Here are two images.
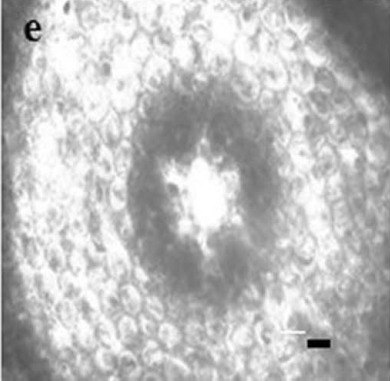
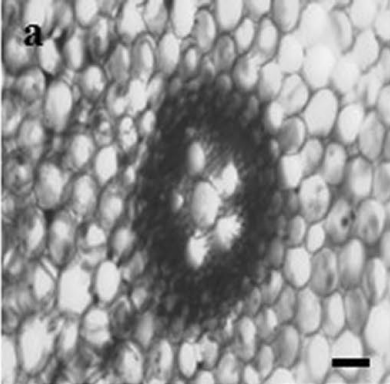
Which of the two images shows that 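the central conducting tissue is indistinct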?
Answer: The first image.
